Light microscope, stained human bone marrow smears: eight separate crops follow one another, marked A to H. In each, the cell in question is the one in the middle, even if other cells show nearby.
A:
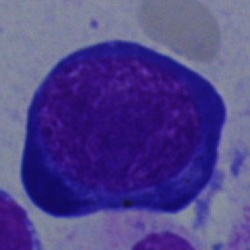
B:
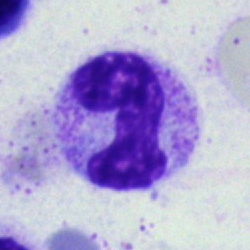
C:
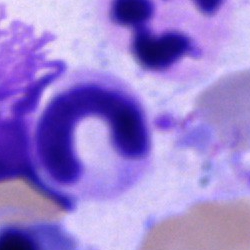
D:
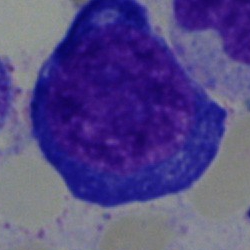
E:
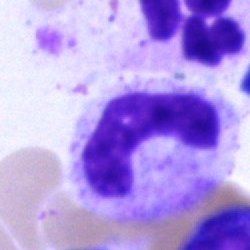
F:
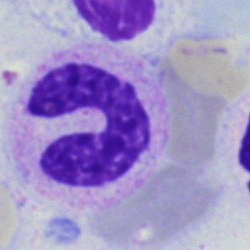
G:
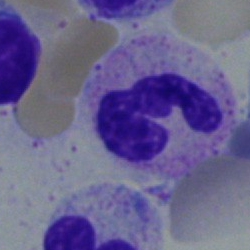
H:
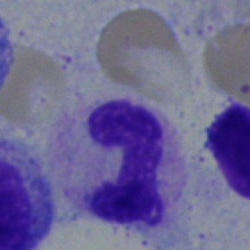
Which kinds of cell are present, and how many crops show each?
band neutrophil: 6
proerythroblast: 2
